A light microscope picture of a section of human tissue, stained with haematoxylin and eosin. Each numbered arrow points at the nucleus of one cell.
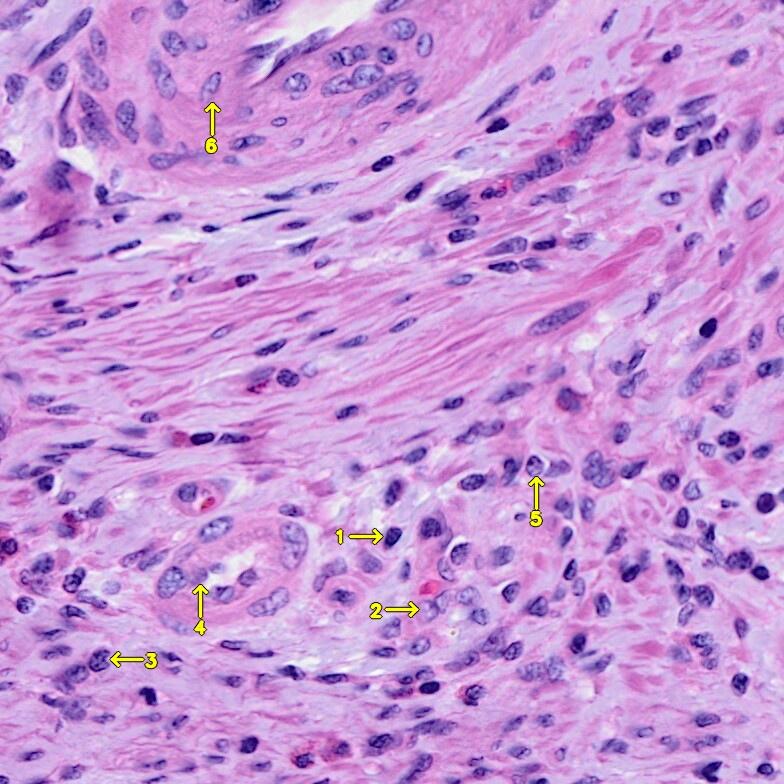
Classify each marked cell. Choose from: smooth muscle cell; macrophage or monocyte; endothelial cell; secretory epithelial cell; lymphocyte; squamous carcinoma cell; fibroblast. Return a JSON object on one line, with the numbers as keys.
{"1": "lymphocyte", "2": "endothelial cell", "3": "lymphocyte", "4": "endothelial cell", "5": "lymphocyte", "6": "smooth muscle cell"}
